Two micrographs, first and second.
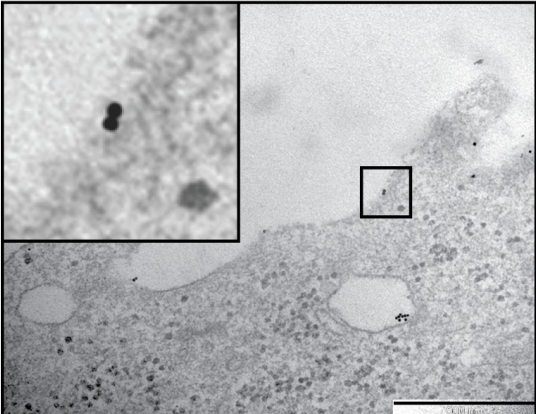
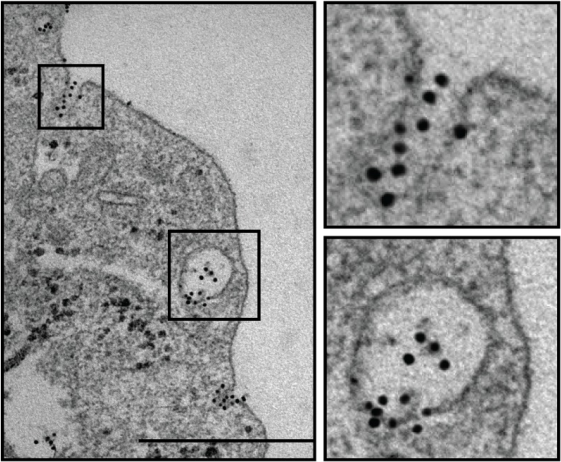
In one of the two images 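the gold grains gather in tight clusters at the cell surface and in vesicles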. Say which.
the second image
